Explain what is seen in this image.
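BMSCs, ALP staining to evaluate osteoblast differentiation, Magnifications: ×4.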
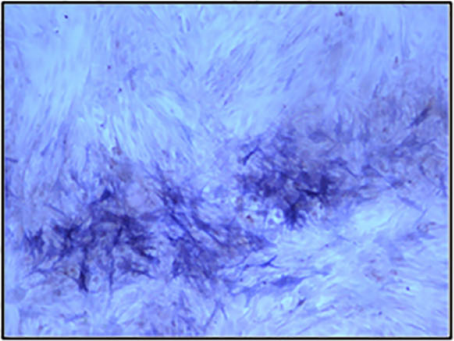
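This is a dense, confluent sheet of cultured cells seen at low power. The cells are long and spindle-shaped and lie side by side in streams that sweep and swirl across the dish. Across the middle of the field the cells carry a deep purple-blue stain, gathered in irregular clusters. Toward the edges the stain fades to a pale blue wash.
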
